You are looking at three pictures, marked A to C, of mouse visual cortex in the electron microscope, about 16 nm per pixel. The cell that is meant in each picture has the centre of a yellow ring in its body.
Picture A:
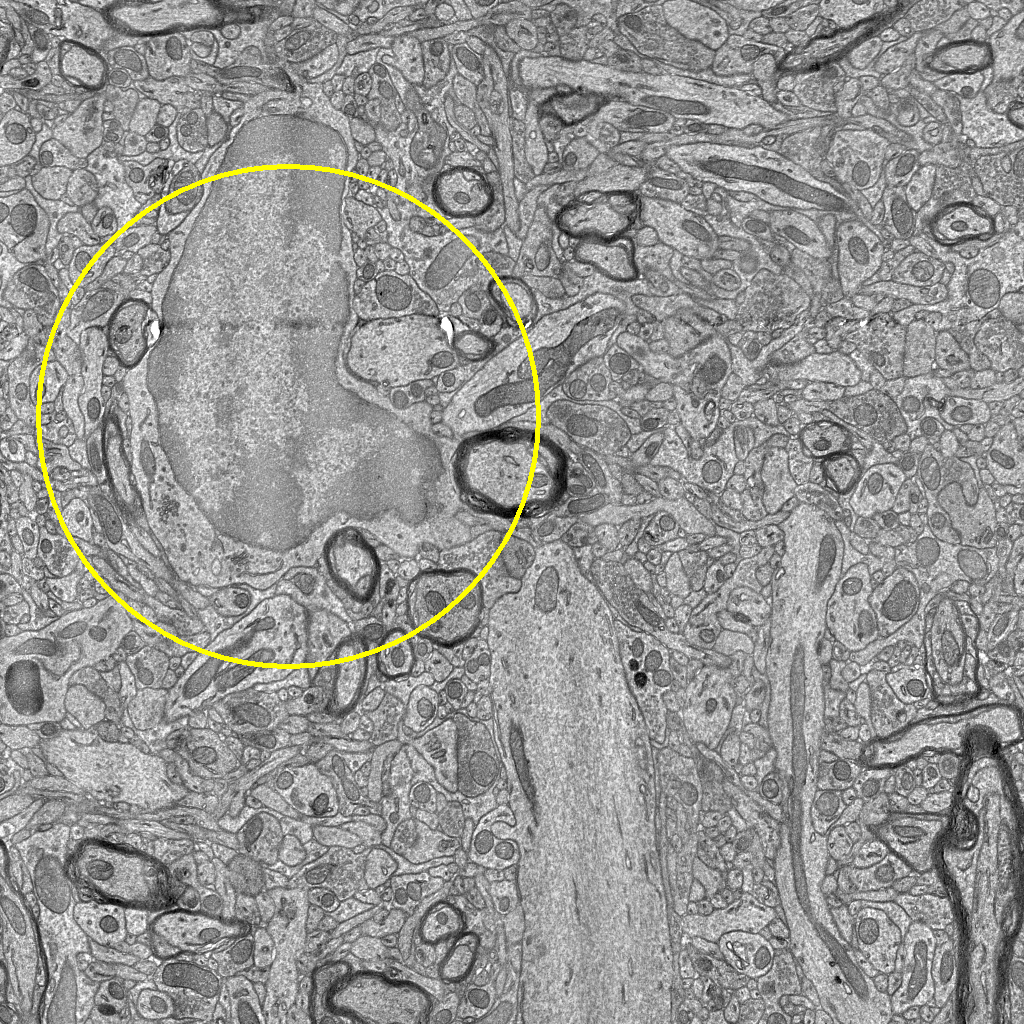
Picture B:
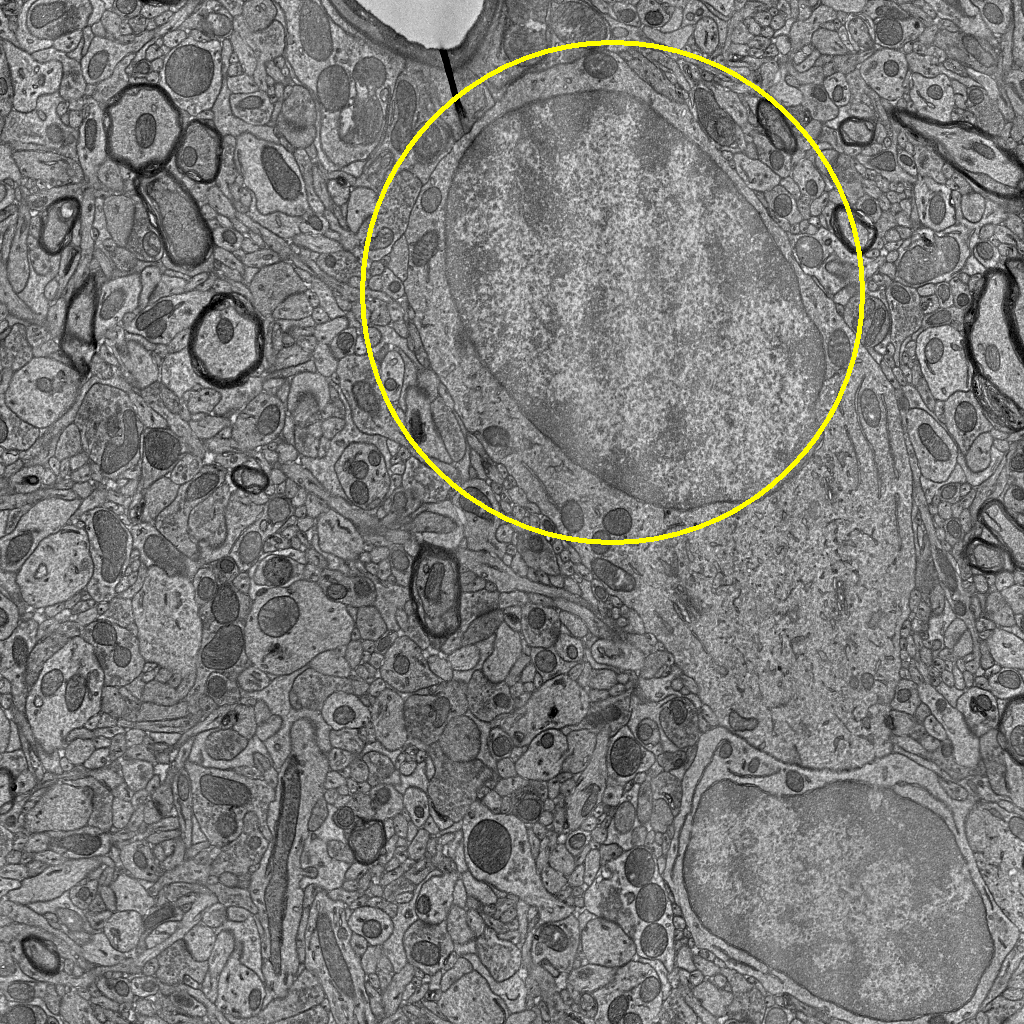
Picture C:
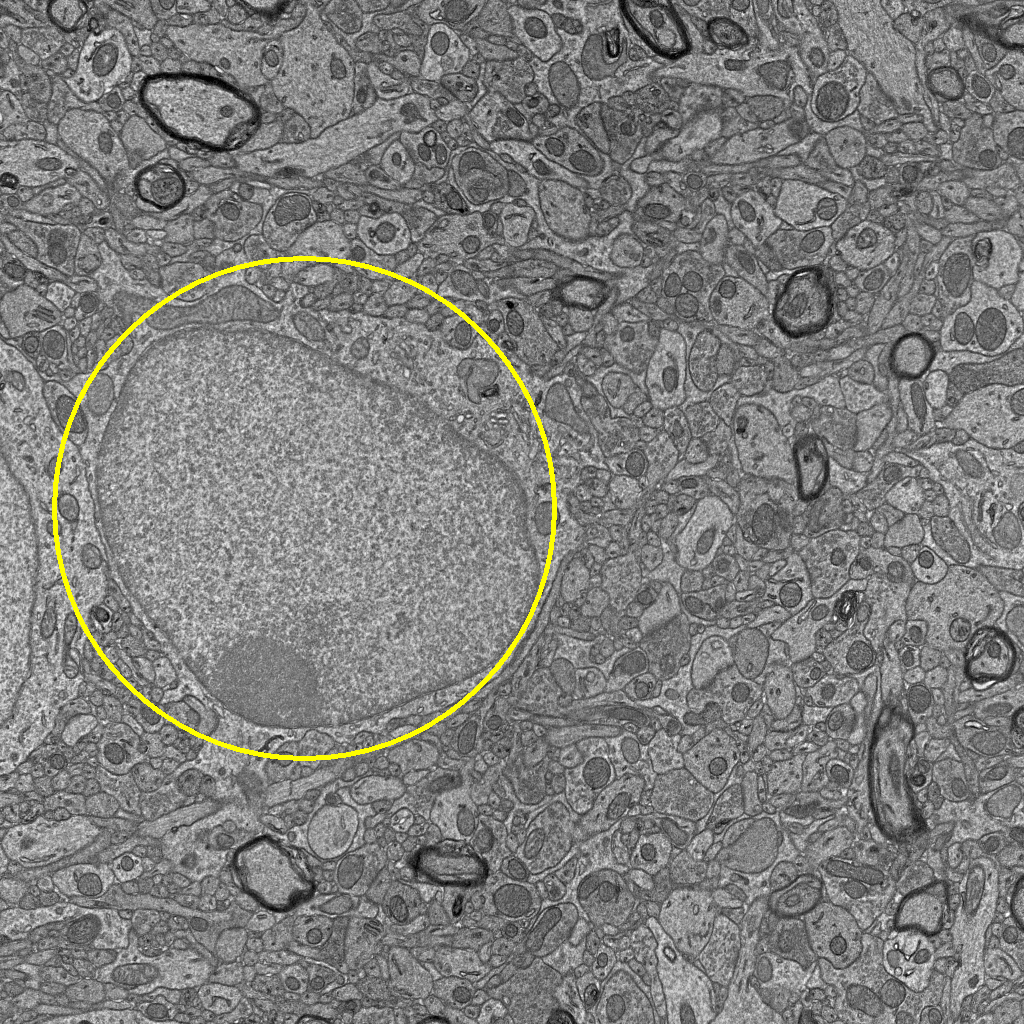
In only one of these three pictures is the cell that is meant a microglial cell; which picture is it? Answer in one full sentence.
It is picture A that shows the microglial cell.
